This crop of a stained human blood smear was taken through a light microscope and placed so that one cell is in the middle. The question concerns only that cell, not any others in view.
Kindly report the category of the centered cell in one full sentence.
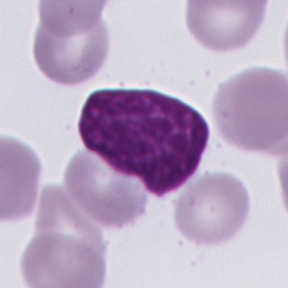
For this crop, the cell in the middle is a smudge cell.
